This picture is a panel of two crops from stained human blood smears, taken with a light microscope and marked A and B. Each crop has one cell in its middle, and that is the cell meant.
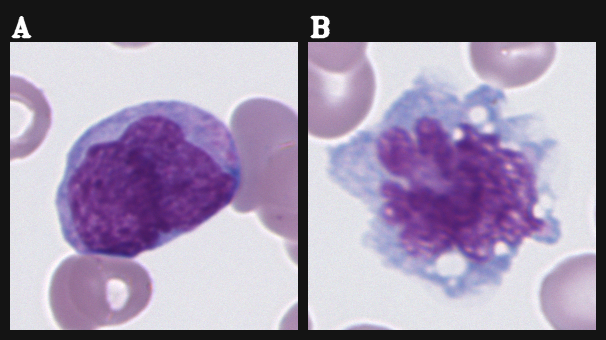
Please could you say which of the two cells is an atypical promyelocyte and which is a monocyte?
A: atypical promyelocyte
B: monocyte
